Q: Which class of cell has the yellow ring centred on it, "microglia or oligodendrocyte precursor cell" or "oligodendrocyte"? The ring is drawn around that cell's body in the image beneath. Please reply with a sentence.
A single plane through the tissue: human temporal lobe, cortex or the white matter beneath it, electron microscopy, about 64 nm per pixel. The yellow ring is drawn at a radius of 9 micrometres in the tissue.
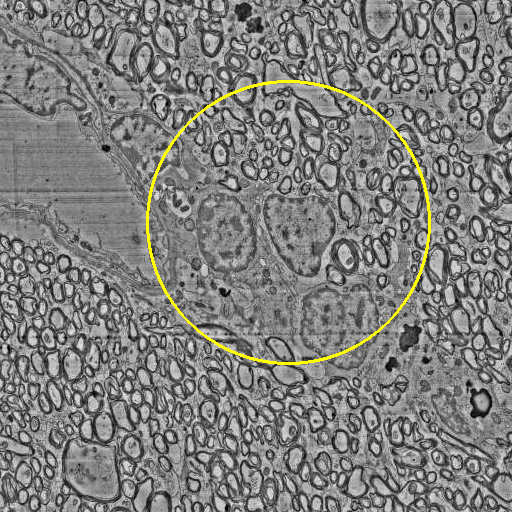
It is centred on a microglial cell or oligodendrocyte precursor cell.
